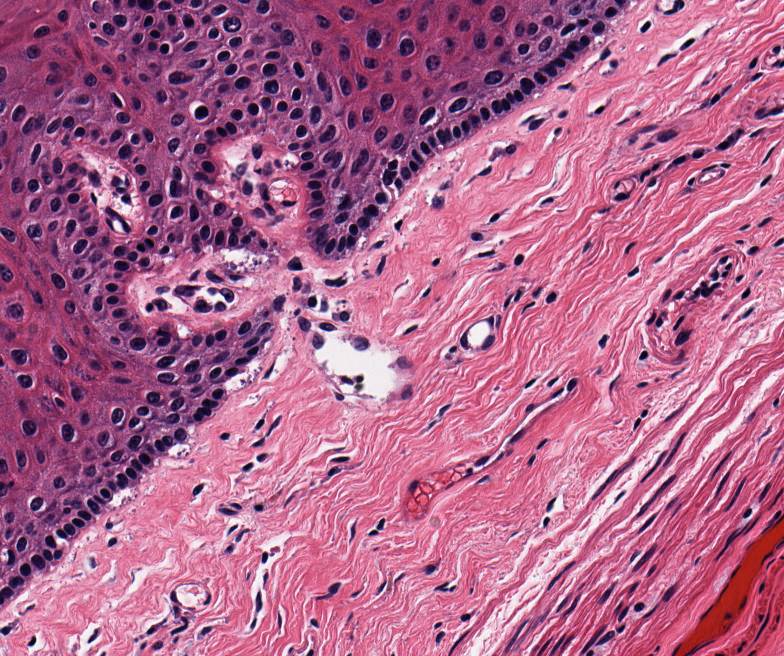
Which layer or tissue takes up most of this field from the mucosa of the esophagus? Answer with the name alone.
loose connective tissue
